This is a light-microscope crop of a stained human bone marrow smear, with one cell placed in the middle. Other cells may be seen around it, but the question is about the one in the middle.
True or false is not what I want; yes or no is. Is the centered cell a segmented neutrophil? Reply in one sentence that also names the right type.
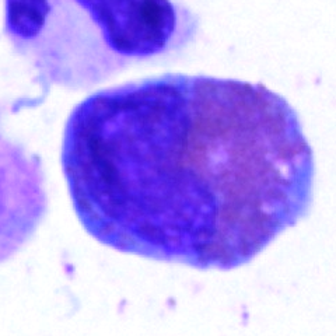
No, the central cell is an eosinophil, not a segmented neutrophil.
